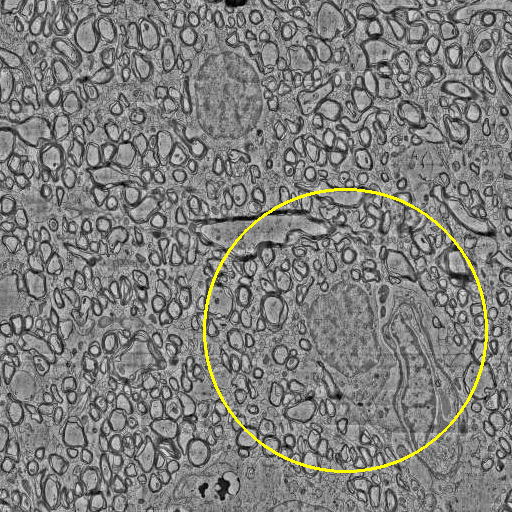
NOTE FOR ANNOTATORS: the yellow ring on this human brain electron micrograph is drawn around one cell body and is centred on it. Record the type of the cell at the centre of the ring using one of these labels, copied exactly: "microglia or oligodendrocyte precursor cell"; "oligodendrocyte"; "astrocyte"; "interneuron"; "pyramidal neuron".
oligodendrocyte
